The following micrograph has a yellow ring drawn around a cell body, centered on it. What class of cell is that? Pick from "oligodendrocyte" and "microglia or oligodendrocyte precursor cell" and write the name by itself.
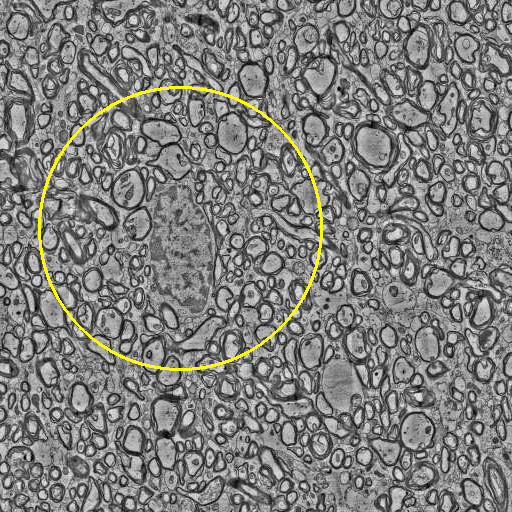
oligodendrocyte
